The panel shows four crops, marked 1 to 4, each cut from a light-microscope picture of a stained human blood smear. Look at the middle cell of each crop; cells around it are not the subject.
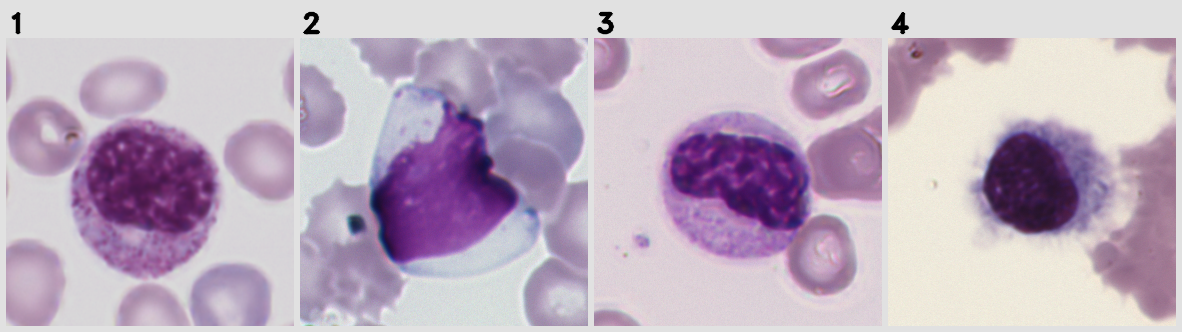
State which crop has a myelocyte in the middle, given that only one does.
1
